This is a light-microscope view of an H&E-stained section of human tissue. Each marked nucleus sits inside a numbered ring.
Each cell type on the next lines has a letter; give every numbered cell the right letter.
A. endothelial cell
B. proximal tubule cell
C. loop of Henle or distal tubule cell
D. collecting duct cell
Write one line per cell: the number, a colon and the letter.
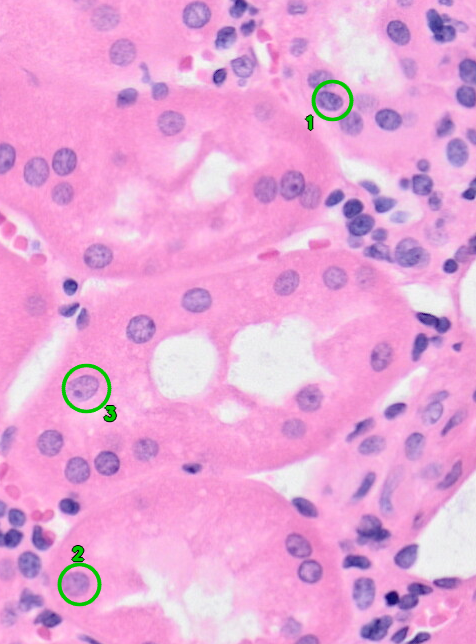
1: D
2: B
3: B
